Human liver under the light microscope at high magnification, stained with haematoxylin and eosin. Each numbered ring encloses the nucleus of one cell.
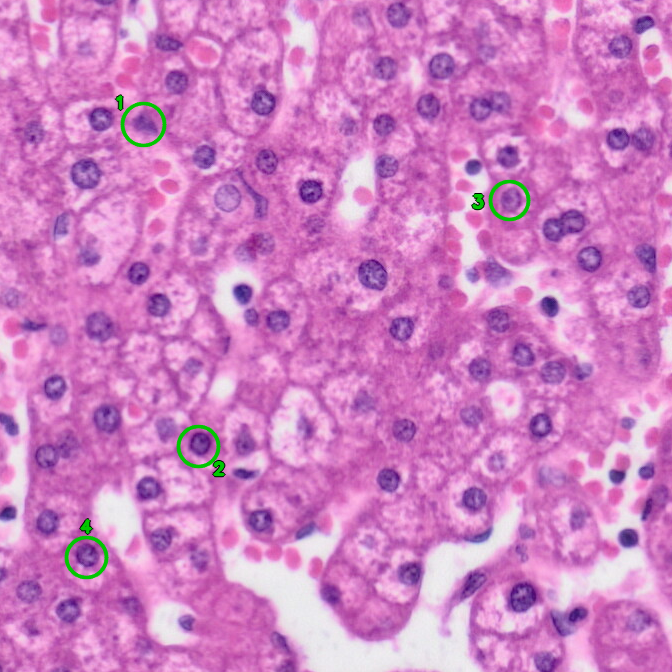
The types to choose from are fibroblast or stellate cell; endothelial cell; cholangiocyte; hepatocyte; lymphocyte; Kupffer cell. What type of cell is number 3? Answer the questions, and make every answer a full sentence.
The correct label for cell 3 is a hepatocyte.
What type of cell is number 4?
Number 4 among the marked cells is a hepatocyte.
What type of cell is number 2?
The mark numbered 2 indicates the nucleus of a hepatocyte.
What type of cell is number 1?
Corresponding to an endothelial cell is the cell labelled 1.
